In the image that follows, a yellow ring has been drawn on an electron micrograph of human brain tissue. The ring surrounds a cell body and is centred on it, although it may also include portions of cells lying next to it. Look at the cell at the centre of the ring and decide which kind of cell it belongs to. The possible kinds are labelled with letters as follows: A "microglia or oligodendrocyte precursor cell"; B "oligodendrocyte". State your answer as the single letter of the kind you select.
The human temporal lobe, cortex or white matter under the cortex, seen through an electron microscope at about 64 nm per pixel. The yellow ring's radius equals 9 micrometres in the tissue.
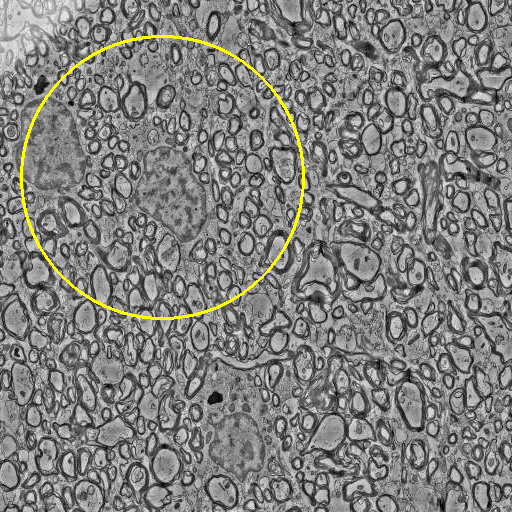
B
